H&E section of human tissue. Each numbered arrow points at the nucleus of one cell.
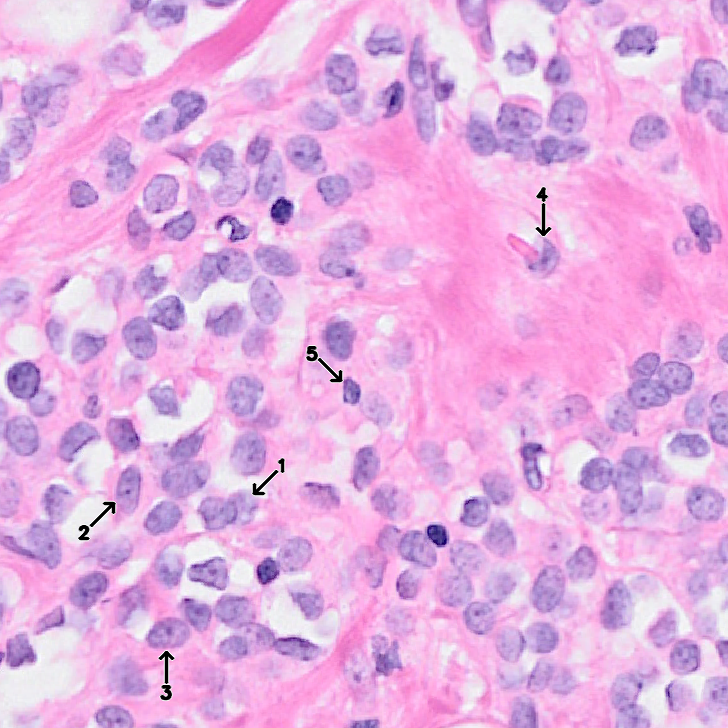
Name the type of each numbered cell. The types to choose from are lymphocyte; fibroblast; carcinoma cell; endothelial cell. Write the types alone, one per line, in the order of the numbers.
carcinoma cell
carcinoma cell
carcinoma cell
endothelial cell
lymphocyte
